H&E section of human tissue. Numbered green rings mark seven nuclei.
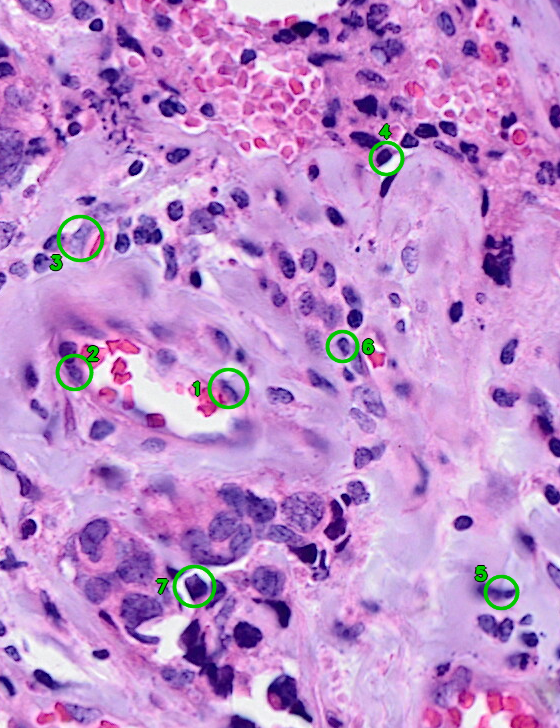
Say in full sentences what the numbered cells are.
Cell 1 is an endothelial cell, cell 2 is an endothelial cell, cell 3 is an endothelial cell, cell 4 is a lymphocyte, cell 5 is a lymphocyte, cell 6 is a lymphocyte and cell 7 is a carcinoma cell.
